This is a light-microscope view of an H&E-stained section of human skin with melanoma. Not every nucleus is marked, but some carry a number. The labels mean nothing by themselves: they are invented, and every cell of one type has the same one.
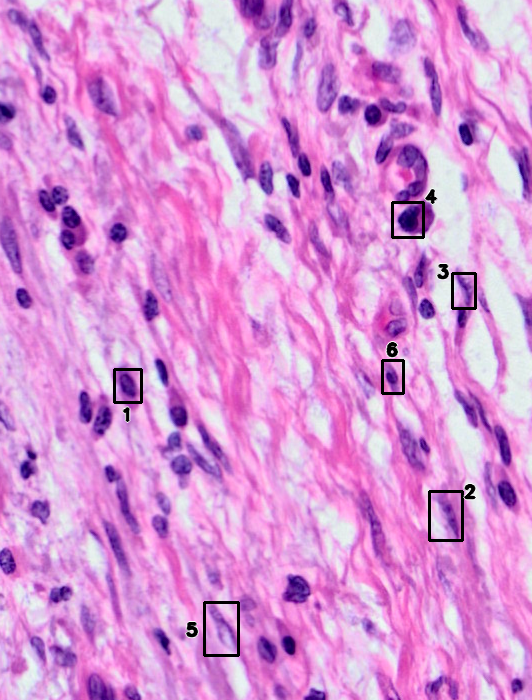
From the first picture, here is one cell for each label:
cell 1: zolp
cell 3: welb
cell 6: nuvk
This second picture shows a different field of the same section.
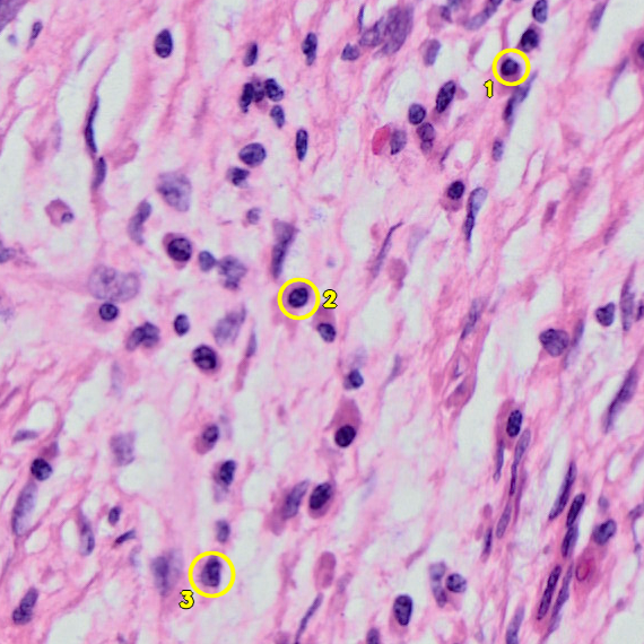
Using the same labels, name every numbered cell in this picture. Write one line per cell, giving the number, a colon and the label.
1: zolp
2: zolp
3: nuvk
